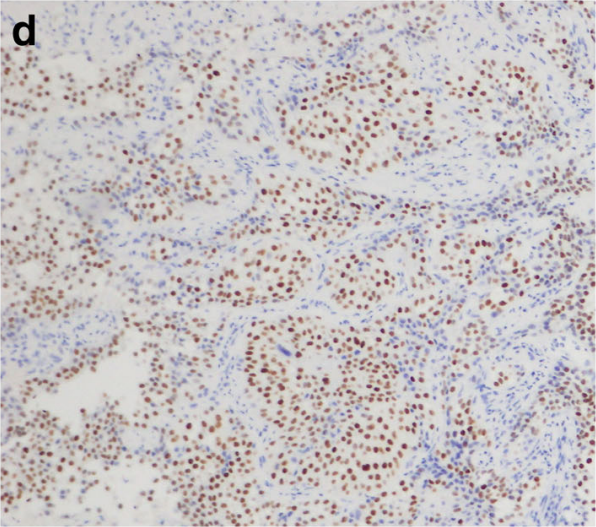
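This field shows tumor tissue in which the cancer cells form nests and clusters separated by stroma. Most nuclei within the nests are stained brown, while the cytoplasm around them stays pale. The stroma between the nests contains elongated spindle-shaped cells whose nuclei are only blue from the counterstain. The sharp contrast between brown-nucleated nests and blue-nucleated stroma outlines the nested growth pattern across the whole field.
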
